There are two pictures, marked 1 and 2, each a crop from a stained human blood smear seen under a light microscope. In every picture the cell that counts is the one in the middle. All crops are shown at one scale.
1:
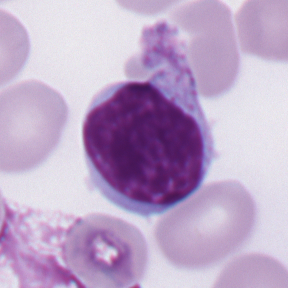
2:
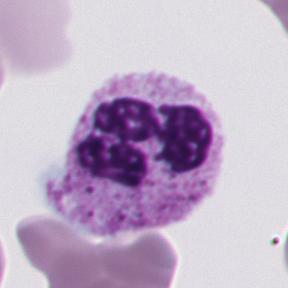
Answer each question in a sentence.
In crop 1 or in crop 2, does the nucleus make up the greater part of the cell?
It is the cell in crop 1 that is filled more by its nucleus.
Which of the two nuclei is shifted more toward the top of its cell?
Seen within its cell, the nucleus in crop 2 lies further toward the top.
